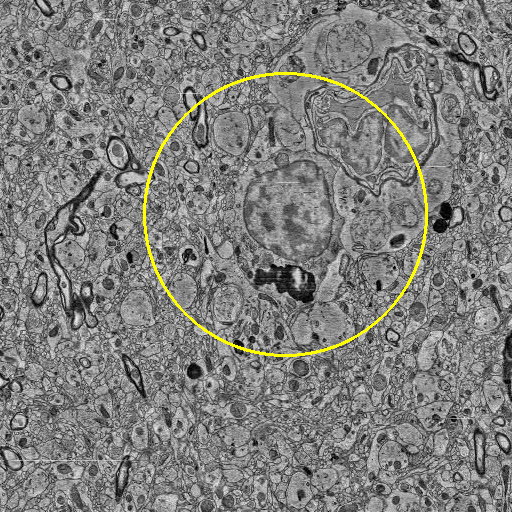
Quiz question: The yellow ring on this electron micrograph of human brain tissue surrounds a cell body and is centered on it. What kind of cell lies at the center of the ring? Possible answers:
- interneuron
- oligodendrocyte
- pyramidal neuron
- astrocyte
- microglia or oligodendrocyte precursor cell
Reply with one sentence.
The ring's center lies on an oligodendrocyte.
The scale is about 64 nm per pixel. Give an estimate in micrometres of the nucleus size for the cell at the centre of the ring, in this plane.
The nucleus comes to roughly 7 by 6 micrometres in this plane.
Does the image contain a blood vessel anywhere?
Yes, there is a blood vessel.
